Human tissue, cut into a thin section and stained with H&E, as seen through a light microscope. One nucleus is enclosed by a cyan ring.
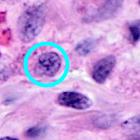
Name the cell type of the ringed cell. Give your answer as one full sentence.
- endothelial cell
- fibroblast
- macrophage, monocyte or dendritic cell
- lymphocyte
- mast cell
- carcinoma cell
The ringed cell appears to be a macrophage, monocyte or dendritic cell.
